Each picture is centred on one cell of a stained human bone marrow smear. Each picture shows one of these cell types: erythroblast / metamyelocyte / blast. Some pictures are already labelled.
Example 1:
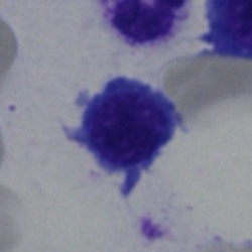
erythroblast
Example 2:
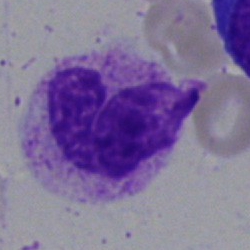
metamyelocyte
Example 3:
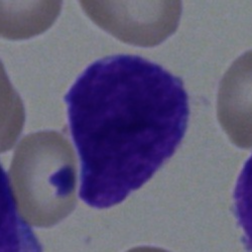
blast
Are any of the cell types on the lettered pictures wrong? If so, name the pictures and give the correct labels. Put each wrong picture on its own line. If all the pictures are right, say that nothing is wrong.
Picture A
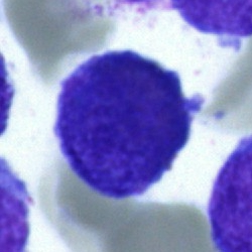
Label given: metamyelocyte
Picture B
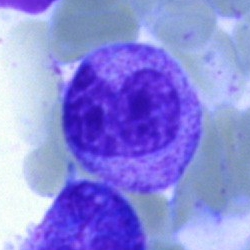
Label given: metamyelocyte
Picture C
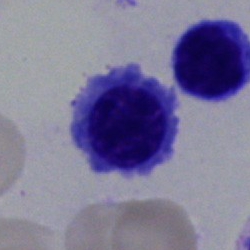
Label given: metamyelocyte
A is labelled metamyelocyte; correct label: blast
C is labelled metamyelocyte; correct label: erythroblast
